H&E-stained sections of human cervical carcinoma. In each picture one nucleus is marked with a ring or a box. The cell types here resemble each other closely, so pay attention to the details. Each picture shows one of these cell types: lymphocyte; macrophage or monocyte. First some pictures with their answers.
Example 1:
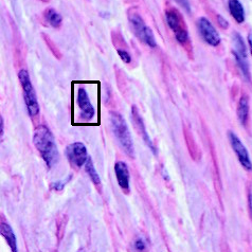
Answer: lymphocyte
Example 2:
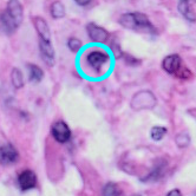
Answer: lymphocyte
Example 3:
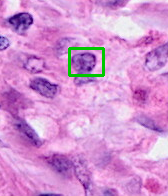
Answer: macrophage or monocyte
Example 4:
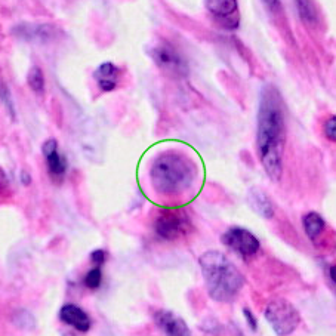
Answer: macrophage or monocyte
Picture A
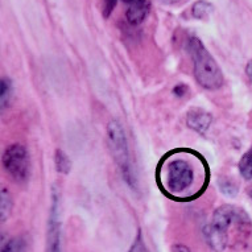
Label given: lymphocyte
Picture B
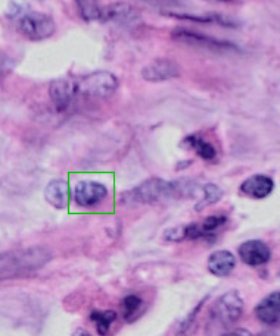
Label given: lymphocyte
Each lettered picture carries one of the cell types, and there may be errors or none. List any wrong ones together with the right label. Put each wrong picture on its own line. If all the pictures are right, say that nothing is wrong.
Nothing to fix; every label fits.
